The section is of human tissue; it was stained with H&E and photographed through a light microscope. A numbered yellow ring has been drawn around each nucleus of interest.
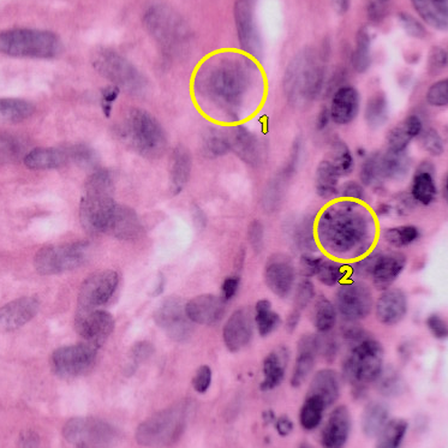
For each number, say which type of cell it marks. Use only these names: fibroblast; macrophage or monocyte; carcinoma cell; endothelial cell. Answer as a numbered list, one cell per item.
1. fibroblast
2. carcinoma cell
